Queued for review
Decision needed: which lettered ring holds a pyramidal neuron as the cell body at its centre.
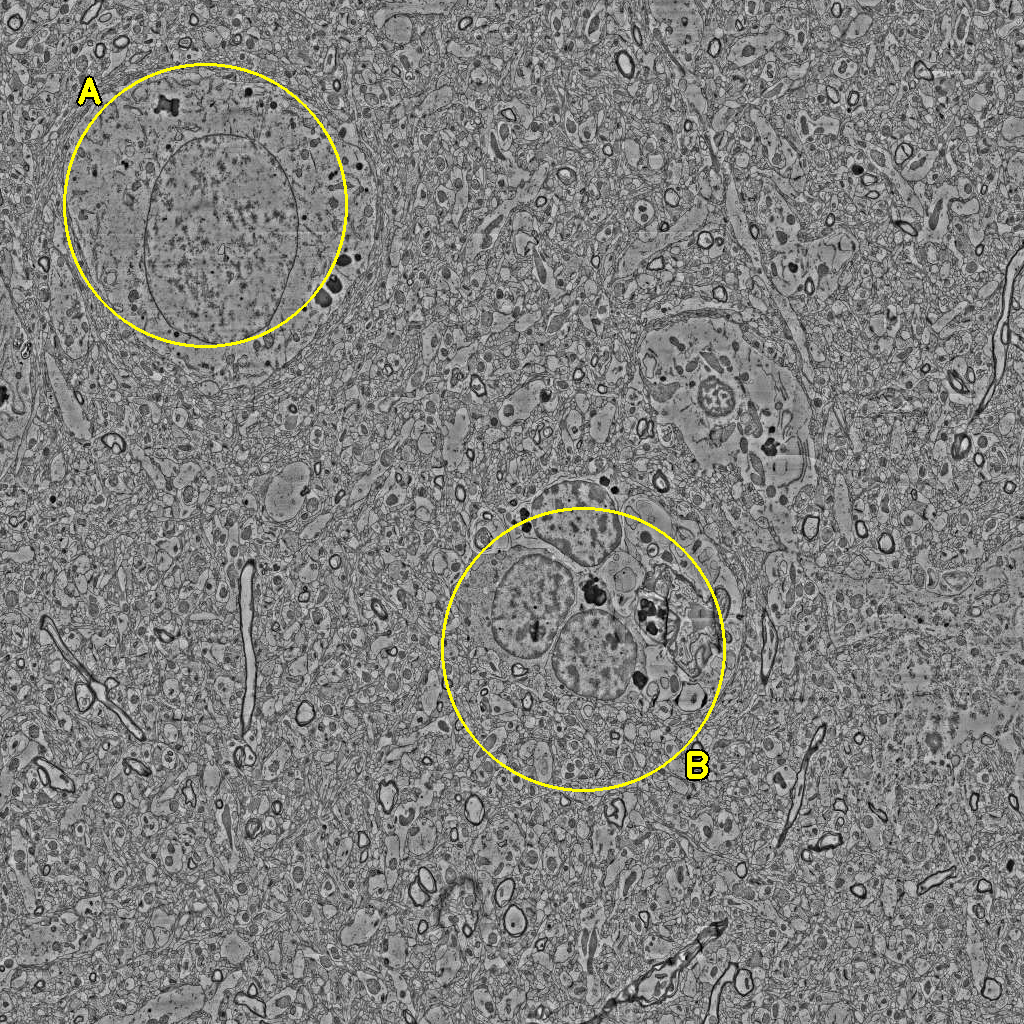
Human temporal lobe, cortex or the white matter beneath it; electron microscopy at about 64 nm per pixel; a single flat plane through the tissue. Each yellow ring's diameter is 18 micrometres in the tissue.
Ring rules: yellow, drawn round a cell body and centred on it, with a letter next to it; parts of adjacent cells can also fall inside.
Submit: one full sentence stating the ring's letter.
The cell asked for is the one at the centre of ring A in the picture.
